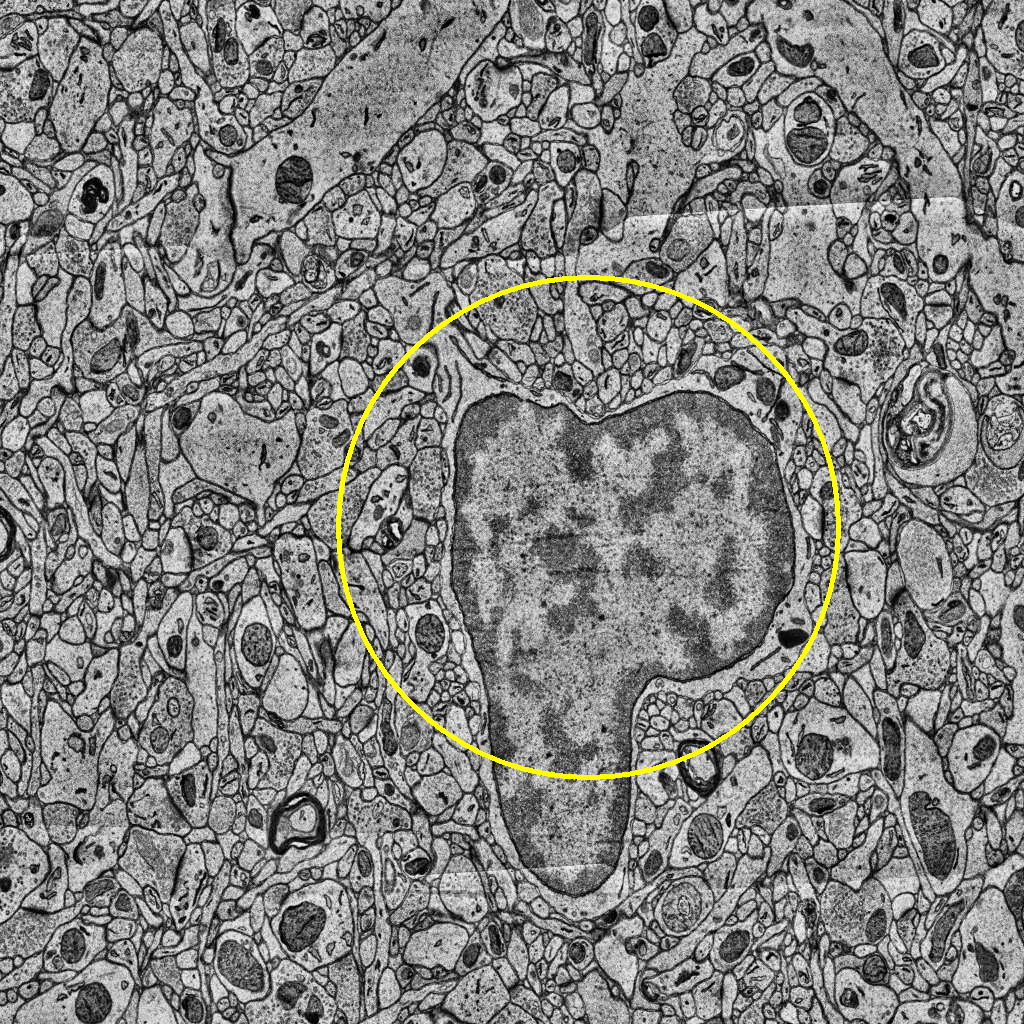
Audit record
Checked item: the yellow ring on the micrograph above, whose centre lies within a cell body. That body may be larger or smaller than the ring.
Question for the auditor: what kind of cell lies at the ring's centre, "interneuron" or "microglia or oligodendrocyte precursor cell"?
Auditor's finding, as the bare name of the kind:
microglia or oligodendrocyte precursor cell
